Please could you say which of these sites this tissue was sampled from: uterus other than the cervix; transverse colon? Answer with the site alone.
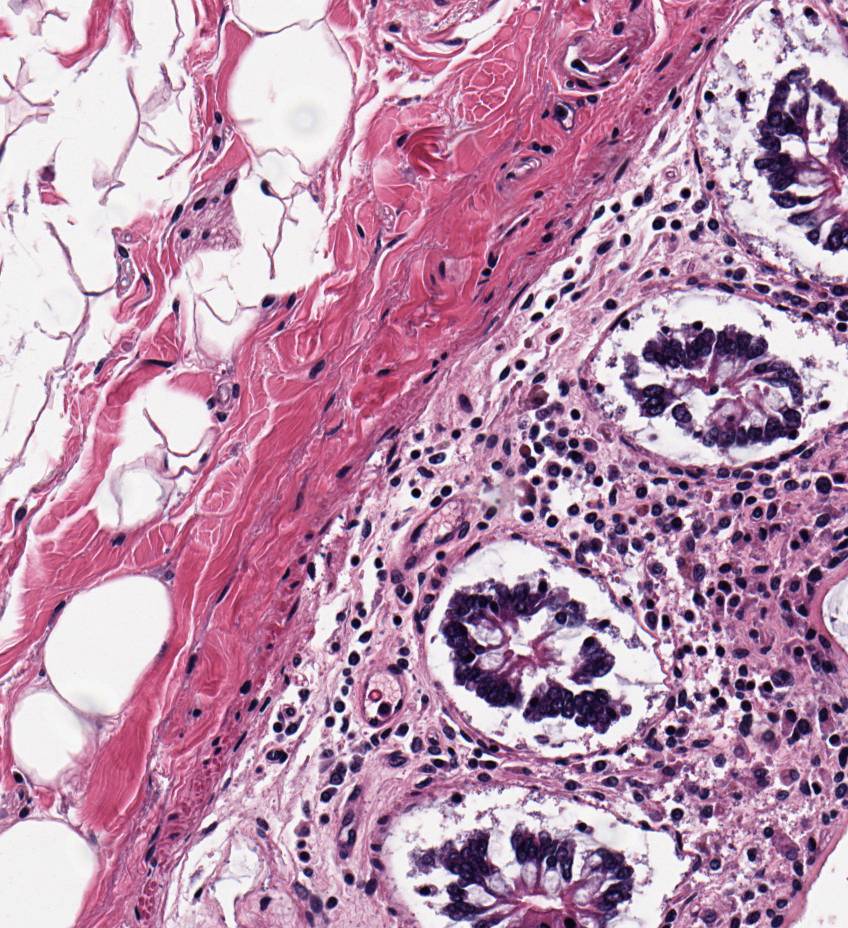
transverse colon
